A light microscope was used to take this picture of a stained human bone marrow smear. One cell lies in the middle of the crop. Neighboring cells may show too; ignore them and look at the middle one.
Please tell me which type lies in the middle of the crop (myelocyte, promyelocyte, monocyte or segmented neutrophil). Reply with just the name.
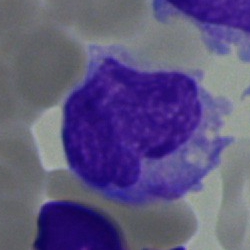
monocyte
